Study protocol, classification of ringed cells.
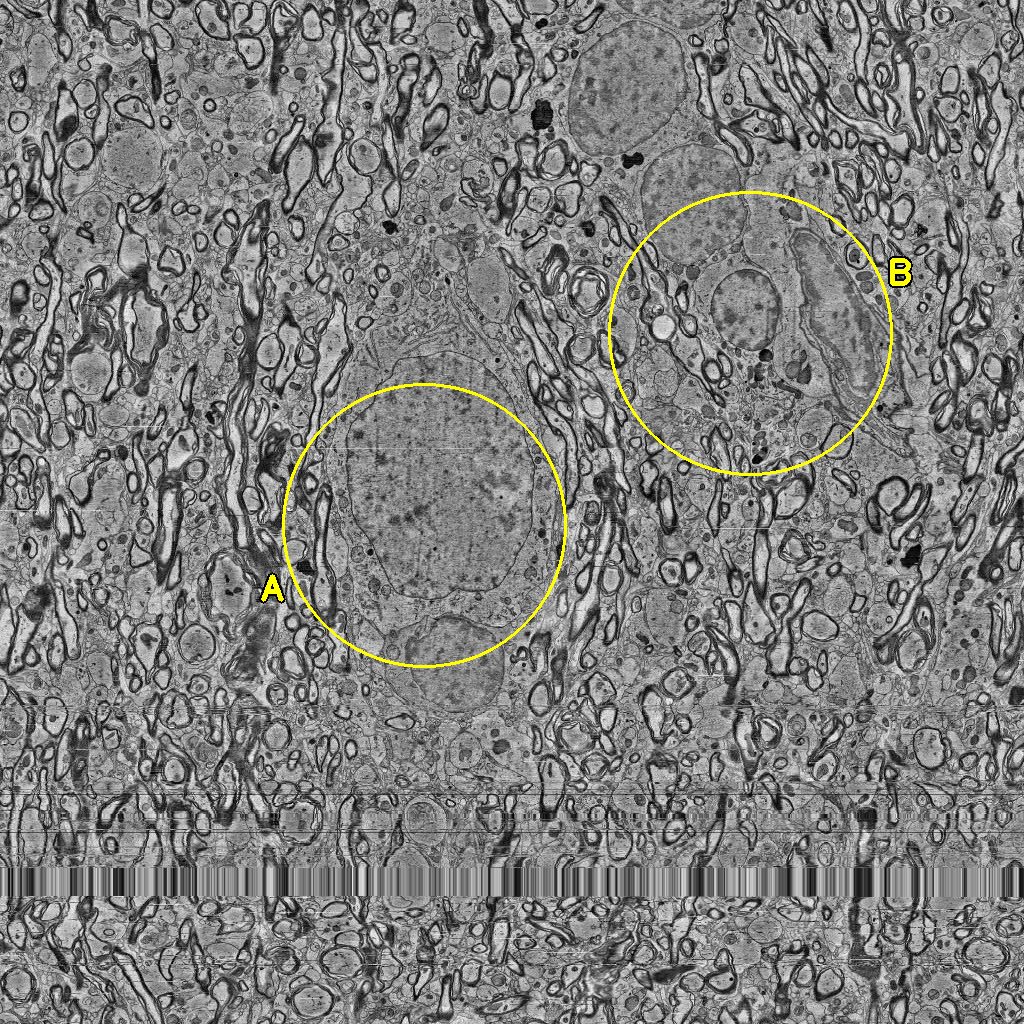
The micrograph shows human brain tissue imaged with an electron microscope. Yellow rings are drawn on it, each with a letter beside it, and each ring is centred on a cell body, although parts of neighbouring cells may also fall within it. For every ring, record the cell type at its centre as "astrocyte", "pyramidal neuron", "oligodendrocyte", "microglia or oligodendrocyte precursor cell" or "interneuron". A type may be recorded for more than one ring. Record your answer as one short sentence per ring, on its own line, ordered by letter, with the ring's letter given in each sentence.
Ring A has been centred on a pyramidal neuron.
Ring B has been centred on a microglial cell or oligodendrocyte precursor cell.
